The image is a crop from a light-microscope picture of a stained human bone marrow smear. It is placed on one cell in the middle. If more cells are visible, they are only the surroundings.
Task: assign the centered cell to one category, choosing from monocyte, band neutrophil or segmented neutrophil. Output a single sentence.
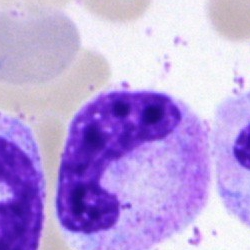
The cell sitting right in the middle is a band neutrophil.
